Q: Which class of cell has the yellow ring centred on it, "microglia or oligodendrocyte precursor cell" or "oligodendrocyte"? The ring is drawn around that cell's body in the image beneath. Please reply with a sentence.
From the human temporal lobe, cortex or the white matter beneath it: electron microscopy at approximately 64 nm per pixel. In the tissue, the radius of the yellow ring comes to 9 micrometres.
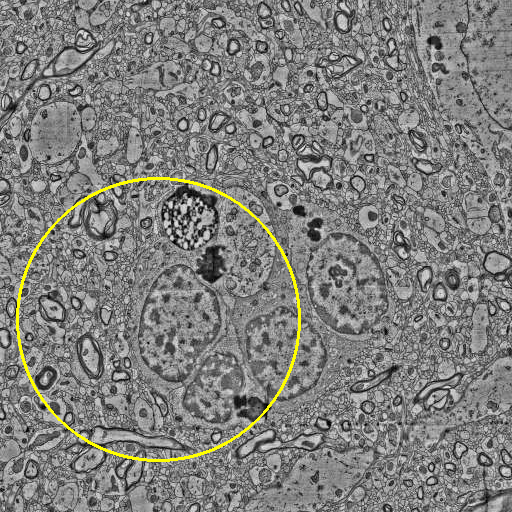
It is centred on an oligodendrocyte.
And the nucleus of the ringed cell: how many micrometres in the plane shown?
In this plane the nucleus spans approximately 7 by 5 micrometers.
